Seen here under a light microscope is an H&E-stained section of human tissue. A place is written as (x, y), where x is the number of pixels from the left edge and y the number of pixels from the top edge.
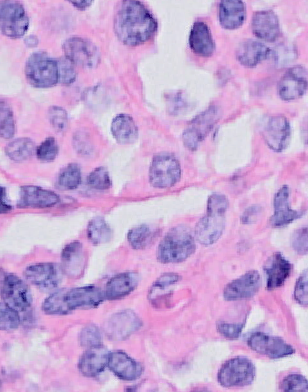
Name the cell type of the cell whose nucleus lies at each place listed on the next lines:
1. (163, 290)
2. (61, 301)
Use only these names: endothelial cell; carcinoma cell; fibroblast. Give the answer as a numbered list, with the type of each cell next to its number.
1. endothelial cell
2. carcinoma cell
